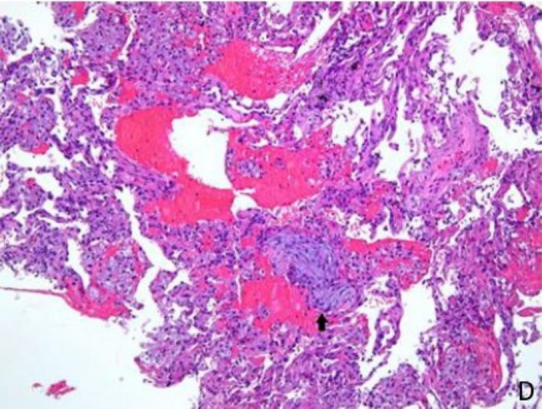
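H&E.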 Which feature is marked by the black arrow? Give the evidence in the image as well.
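The arrow points to a rounded plug of pale bluish-purple tissue inside an airspace. The plug is made of loosely arranged elongated spindle-shaped nuclei. The plug is surrounded by red-pink material in the airspace. So: fibroblastic foci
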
